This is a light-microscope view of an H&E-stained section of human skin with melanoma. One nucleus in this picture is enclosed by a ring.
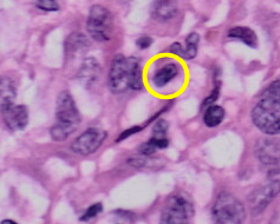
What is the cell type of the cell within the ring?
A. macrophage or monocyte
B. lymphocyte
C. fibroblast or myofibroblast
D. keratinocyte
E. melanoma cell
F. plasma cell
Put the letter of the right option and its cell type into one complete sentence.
Option B is the right one; the cell within the ring is a lymphocyte.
